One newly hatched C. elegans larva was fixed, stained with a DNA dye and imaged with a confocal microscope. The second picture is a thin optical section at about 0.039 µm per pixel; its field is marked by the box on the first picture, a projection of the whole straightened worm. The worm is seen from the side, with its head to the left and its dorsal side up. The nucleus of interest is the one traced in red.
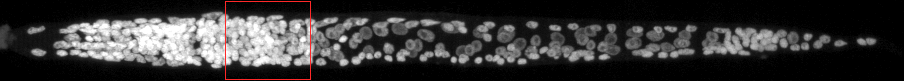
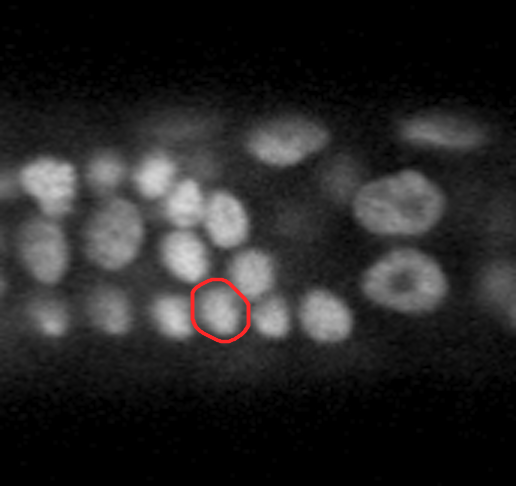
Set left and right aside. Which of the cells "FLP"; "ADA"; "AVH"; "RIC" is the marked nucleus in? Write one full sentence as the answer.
It belongs to FLP, a neuron.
